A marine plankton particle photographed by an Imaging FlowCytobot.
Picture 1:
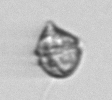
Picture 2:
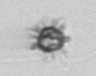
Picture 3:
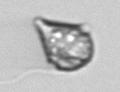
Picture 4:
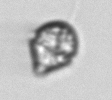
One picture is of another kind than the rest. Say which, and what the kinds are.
Picture 2 shows Rhabdosphaera; the rest show Scrippsiella.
